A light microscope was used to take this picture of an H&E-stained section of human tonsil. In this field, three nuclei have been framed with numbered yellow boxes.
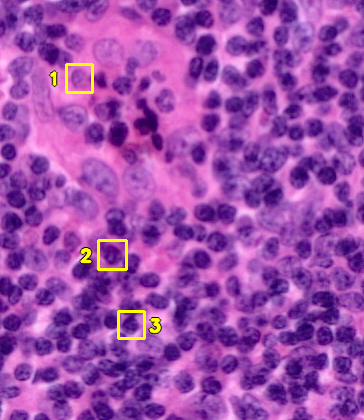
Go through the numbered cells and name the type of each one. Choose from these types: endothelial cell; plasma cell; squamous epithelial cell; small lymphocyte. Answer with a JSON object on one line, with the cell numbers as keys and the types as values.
{"1": "endothelial cell", "2": "plasma cell", "3": "small lymphocyte"}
